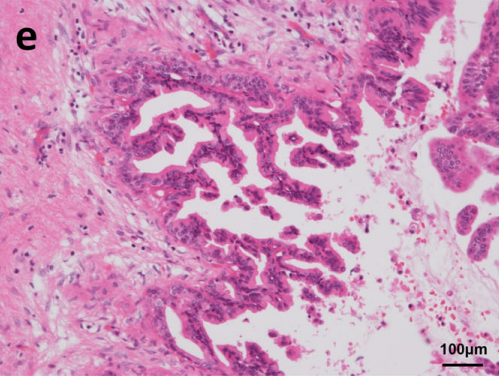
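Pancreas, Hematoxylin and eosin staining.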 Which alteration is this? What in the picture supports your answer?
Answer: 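High‐grade dysplasia. Epithelium forms complex branching papillae and cribriform-like spaces. Nuclei are enlarged, crowded, dark and stratified. Detached cell clusters lie free in the lumen.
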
